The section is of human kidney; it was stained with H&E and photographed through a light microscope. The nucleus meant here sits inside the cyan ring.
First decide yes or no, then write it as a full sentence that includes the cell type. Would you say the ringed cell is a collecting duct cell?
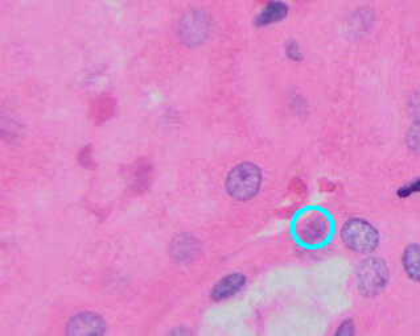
Yes, the statement that the ringed cell is a collecting duct cell is correct.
